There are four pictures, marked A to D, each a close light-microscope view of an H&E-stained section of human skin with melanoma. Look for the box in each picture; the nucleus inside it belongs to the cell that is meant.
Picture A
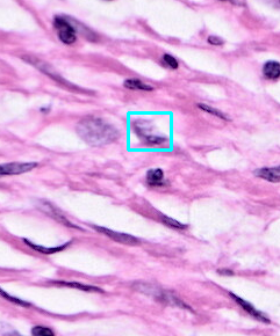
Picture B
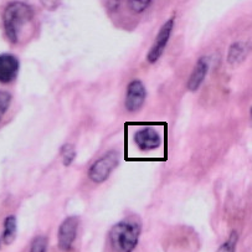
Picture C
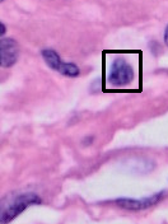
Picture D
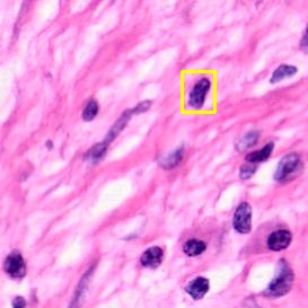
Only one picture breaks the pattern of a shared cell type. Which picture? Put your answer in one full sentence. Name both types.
Picture A differs, because its cell is a “fibroblast or myofibroblast” and the rest are lymphocytes.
